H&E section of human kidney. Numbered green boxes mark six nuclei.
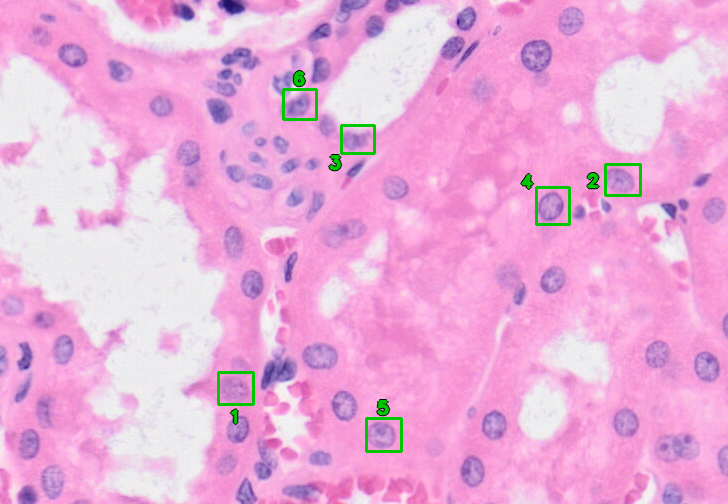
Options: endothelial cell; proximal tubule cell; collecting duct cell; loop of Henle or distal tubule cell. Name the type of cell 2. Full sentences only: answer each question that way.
The marked nucleus 2 is that of a proximal tubule cell.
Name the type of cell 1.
To a proximal tubule cell belongs the nucleus marked 1.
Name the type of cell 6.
The cell marked with number 6 is a loop of Henle or distal tubule cell.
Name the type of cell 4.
Cell 4 should be recorded as a proximal tubule cell.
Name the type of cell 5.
Cell number 5 in this section is a proximal tubule cell.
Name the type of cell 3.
Number 3 among the marked cells is a loop of Henle or distal tubule cell.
